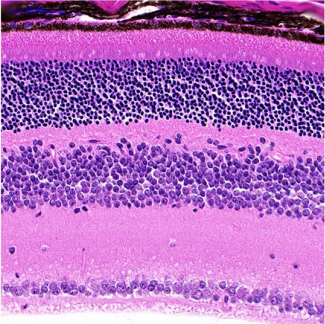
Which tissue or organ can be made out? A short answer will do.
retinas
